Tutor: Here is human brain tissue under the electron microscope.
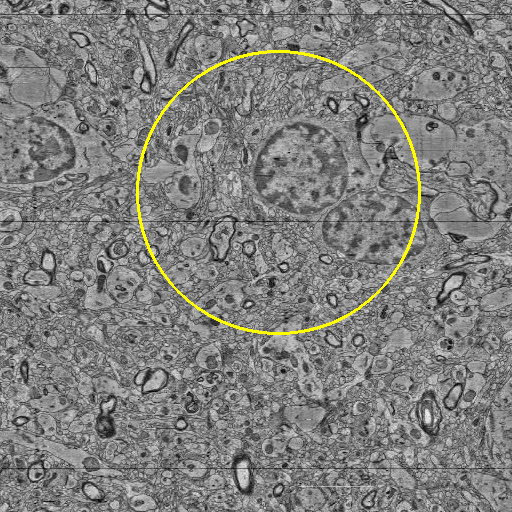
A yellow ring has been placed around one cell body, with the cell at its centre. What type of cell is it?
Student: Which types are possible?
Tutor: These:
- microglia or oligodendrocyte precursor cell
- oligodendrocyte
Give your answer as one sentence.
What the ring picks out here is an oligodendrocyte.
